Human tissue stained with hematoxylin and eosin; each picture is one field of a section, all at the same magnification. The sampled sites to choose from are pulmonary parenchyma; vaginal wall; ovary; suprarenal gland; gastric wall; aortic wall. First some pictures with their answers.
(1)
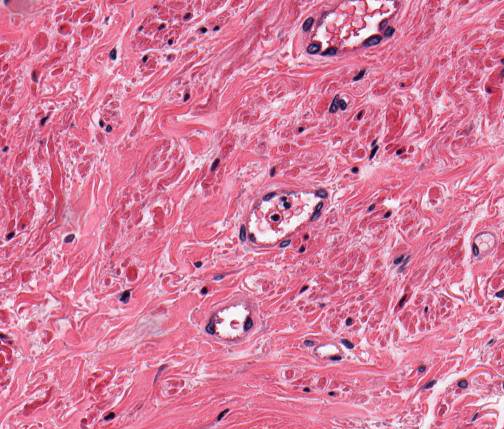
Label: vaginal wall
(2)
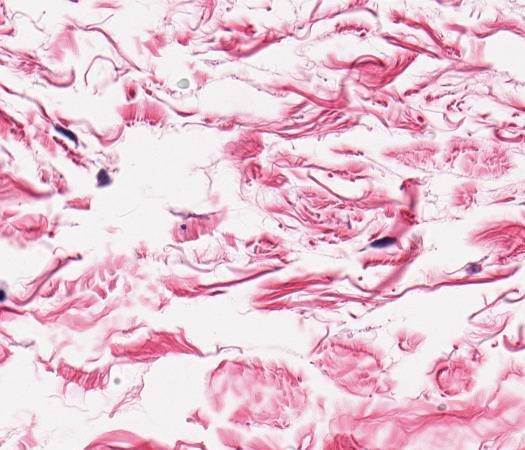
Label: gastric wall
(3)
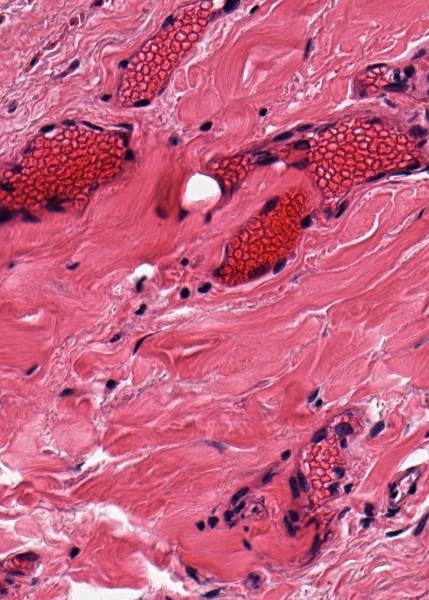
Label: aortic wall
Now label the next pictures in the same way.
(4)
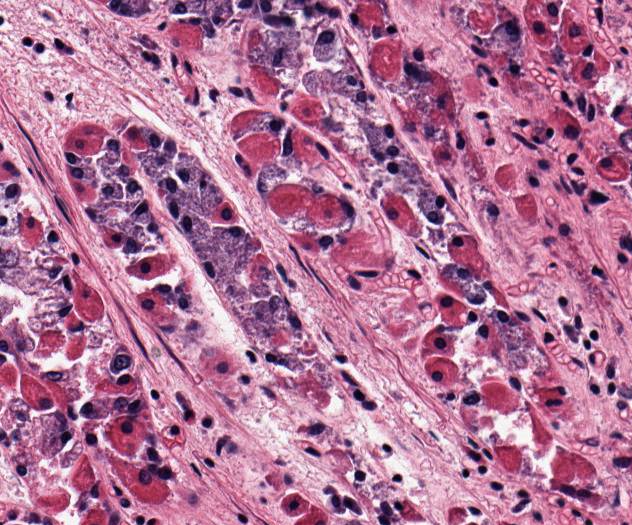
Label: gastric wall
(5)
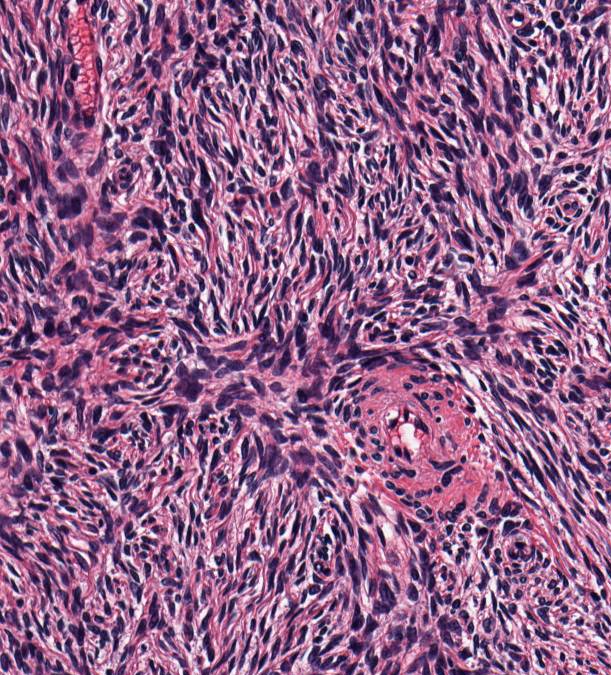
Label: ovary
